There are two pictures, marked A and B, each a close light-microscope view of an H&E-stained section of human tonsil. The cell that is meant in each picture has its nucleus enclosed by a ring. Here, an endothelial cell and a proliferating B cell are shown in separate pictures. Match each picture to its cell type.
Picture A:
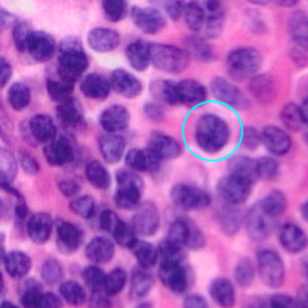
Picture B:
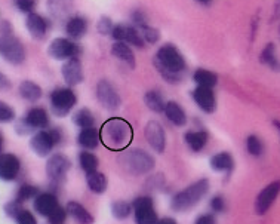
A: proliferating B cell
B: endothelial cell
